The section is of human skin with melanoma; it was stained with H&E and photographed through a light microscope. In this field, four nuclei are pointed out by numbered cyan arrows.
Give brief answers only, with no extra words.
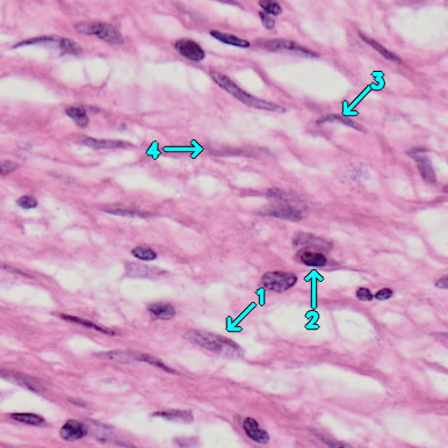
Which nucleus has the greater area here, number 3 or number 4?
4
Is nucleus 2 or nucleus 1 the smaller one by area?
2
